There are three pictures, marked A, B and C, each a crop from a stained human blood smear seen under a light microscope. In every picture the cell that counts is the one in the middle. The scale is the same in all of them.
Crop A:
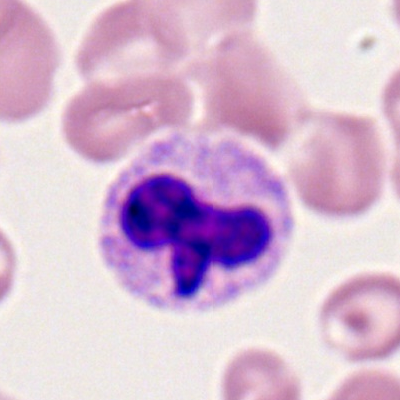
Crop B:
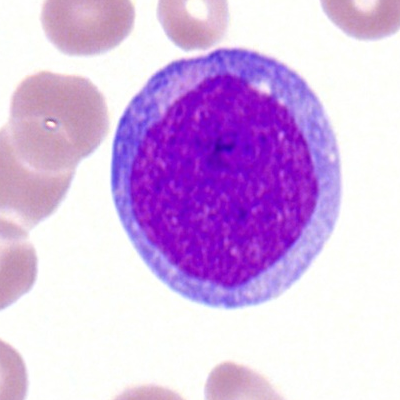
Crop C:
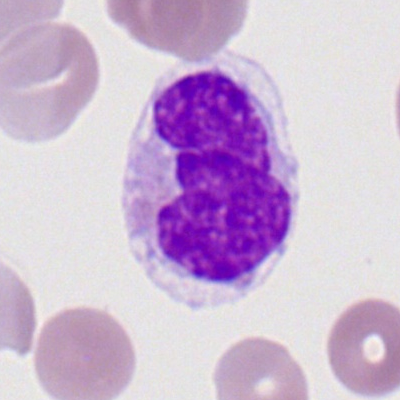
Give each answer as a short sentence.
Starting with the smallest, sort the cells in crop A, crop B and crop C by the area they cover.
The order is A, C, B, beginning with the smallest.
